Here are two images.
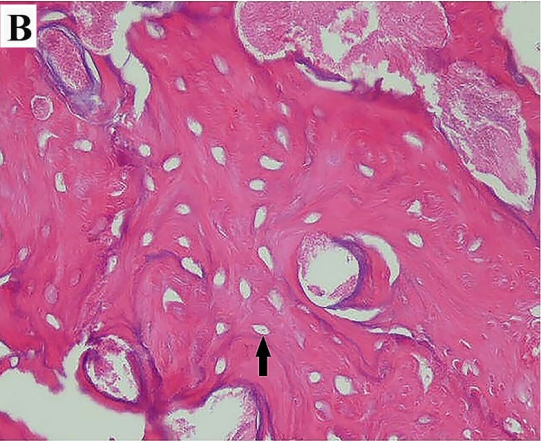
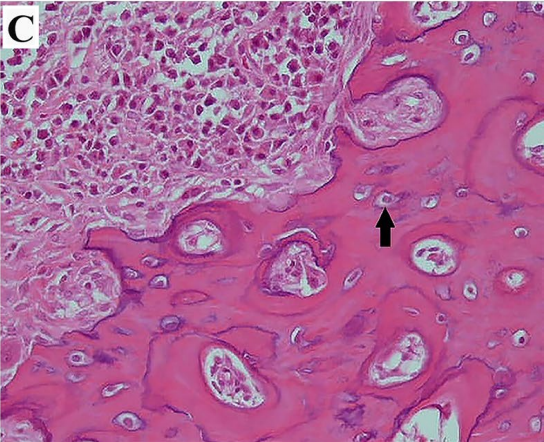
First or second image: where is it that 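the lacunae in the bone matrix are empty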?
The first image.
